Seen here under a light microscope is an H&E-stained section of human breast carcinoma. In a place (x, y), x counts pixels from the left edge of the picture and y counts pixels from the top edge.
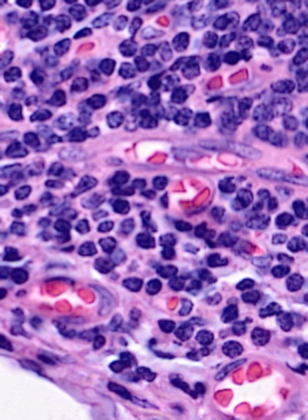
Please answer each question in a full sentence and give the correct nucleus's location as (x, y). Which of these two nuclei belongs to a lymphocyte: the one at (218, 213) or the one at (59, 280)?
Of the two nuclei, the one sitting at (218, 213) belongs to a lymphocyte.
